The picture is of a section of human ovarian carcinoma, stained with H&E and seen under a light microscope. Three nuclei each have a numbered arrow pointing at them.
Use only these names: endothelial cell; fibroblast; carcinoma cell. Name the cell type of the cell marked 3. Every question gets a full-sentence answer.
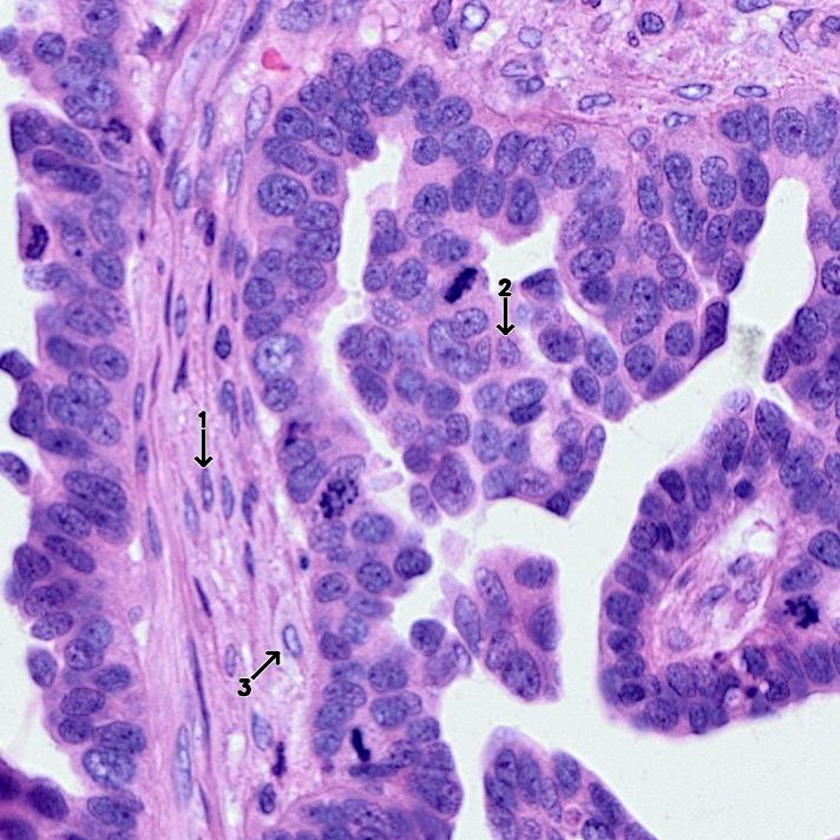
The cell carrying label 3 is identified as a fibroblast.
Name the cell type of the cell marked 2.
The numbered cell 2 is identified here as a carcinoma cell.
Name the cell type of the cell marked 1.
The cell with the number 1 is a fibroblast.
